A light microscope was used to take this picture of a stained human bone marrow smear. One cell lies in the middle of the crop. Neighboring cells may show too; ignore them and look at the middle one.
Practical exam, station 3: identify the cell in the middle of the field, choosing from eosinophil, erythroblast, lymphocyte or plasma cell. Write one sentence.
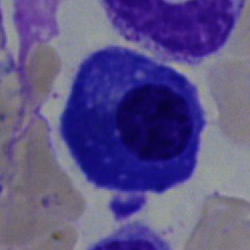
As for the central cell, it is a plasma cell.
